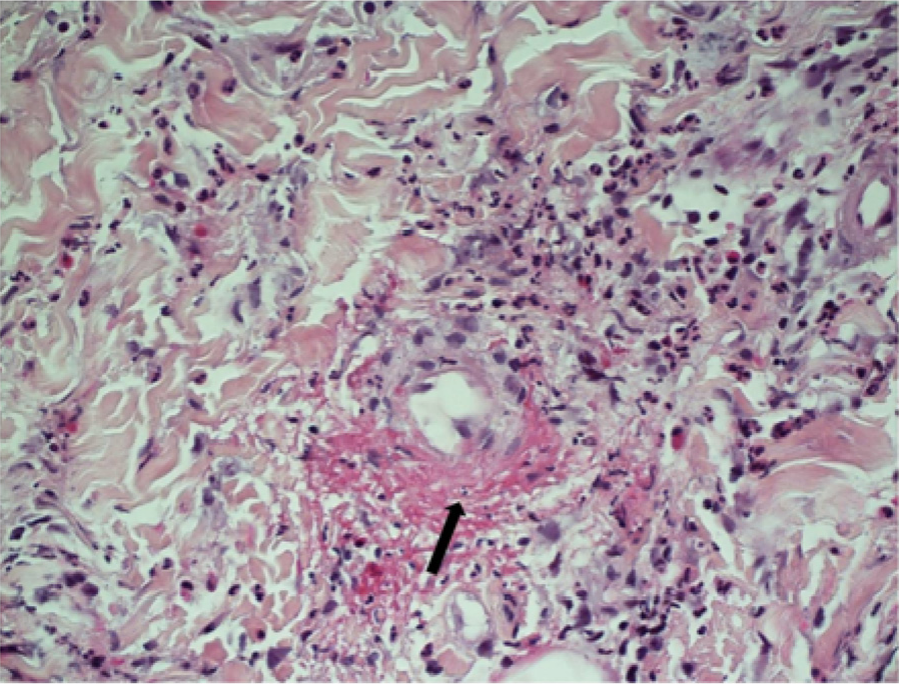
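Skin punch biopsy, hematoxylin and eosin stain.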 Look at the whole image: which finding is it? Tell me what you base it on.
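Dense inflammatory cells crowd around a small dermal vessel. Bright pink fibrillar material surrounds the vessel. Small dark nuclear fragments are scattered among the cells. So: leukocytoclastic vasculitis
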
